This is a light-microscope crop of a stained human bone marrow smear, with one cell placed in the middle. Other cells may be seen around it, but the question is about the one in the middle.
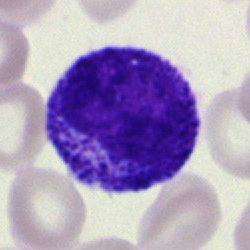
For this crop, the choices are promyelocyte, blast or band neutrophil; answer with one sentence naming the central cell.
Regarding the central cell, it is a promyelocyte.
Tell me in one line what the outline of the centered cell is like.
Smooth edges only, with no spikes, blebs, or other projections.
